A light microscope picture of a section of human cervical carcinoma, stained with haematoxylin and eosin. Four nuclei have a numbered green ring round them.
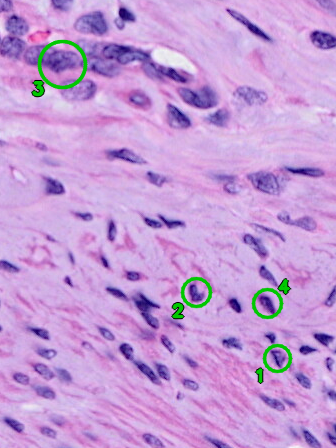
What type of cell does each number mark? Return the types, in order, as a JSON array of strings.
["smooth muscle cell", "smooth muscle cell", "endothelial cell", "smooth muscle cell"]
